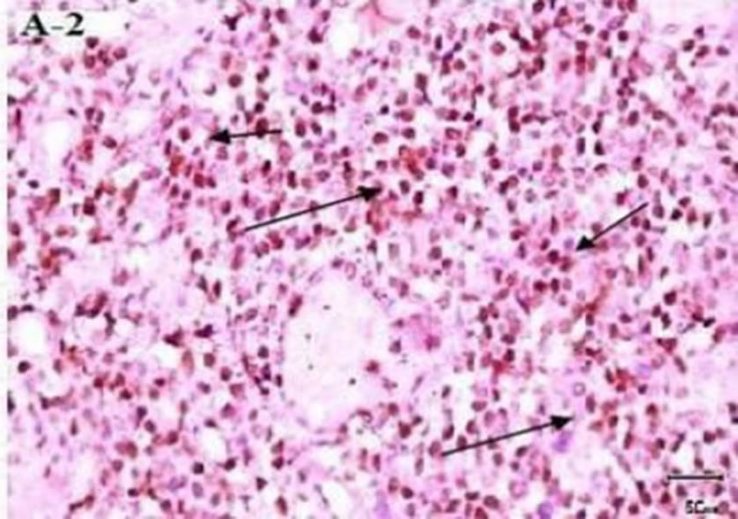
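In many cells the stain colours the nucleus reddish-brown, while the cytoplasm around it stays pale. The cells lie less tightly packed here than in a dense lymphoid sheet, with clear pale spaces between groups of them. Some nuclei are unstained and look pale pink or lilac.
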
